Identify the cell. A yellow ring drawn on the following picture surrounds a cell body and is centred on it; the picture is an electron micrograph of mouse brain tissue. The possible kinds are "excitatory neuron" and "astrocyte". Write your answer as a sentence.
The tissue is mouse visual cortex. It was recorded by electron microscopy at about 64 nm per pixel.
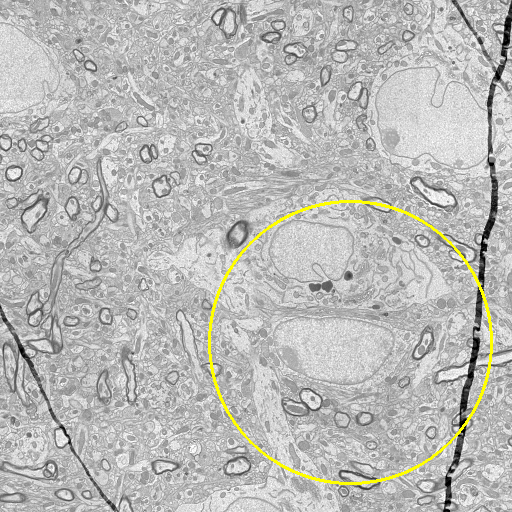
The cell identified by the ring is an astrocyte.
